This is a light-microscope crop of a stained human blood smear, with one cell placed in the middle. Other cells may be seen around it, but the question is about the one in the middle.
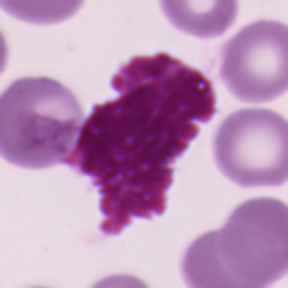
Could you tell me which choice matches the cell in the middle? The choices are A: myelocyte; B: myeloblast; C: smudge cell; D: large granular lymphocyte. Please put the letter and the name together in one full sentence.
Option C holds, for the cell in the middle is a smudge cell.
